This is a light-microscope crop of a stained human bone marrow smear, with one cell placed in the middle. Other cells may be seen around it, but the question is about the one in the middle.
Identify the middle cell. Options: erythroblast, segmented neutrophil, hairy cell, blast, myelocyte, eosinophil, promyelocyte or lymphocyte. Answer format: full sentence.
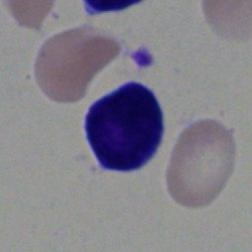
Located at the centre of the crop is a lymphocyte.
